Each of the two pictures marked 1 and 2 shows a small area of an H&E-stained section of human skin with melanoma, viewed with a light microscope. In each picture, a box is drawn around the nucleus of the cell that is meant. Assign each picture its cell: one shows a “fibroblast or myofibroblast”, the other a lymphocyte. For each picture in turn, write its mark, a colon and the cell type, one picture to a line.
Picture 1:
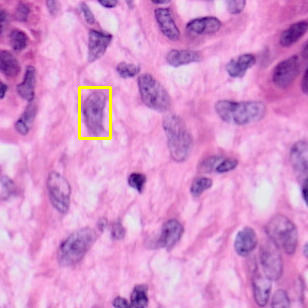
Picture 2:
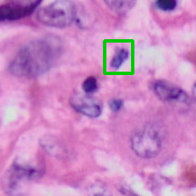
1: fibroblast or myofibroblast
2: lymphocyte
